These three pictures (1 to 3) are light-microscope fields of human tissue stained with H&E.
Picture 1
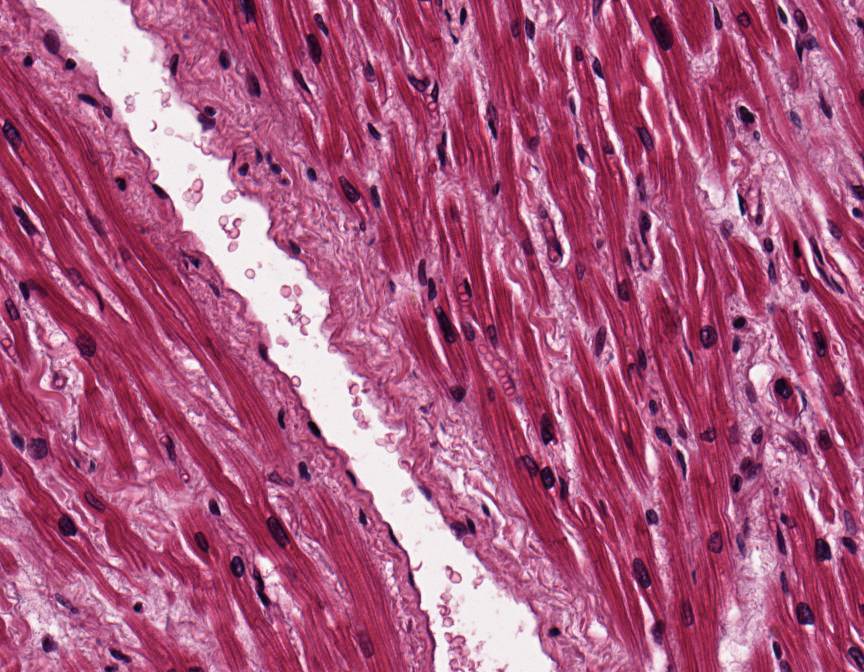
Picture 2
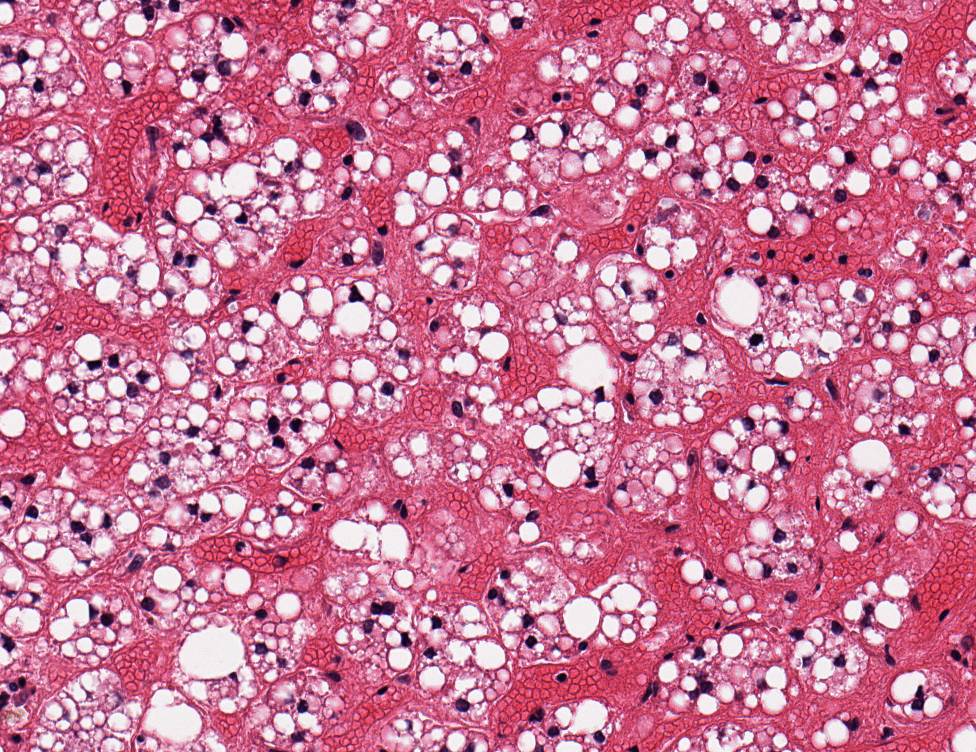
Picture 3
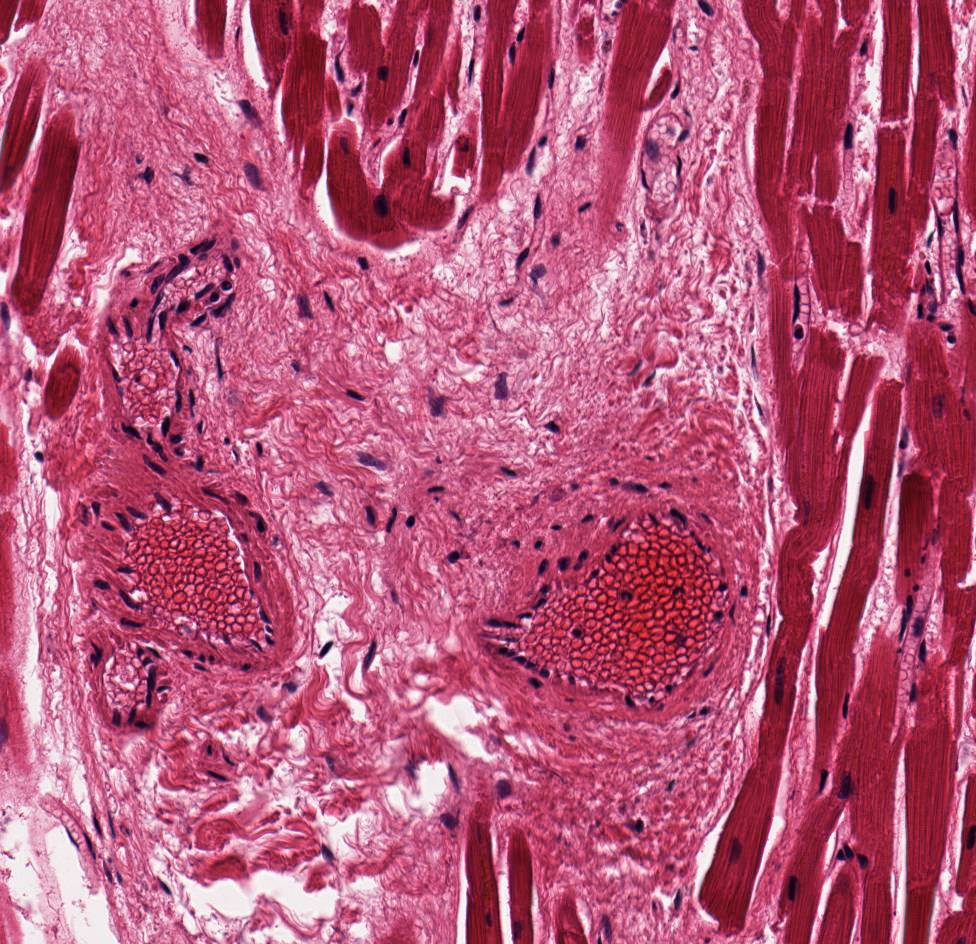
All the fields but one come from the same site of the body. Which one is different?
2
